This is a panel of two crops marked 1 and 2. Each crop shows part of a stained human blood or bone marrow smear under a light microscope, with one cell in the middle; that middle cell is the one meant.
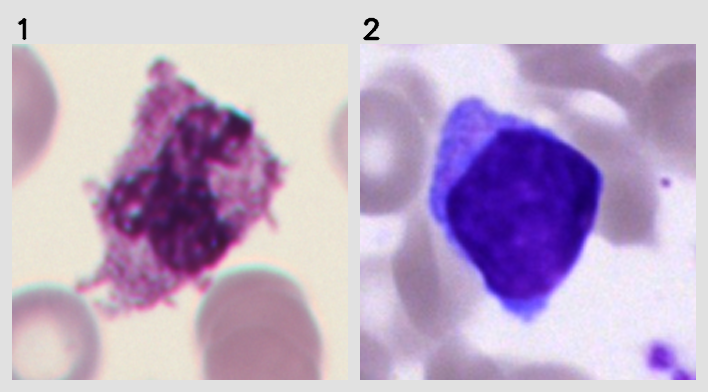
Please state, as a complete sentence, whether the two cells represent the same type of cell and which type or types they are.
No, crop 1 shows a basophil and crop 2 shows a lymphocyte.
